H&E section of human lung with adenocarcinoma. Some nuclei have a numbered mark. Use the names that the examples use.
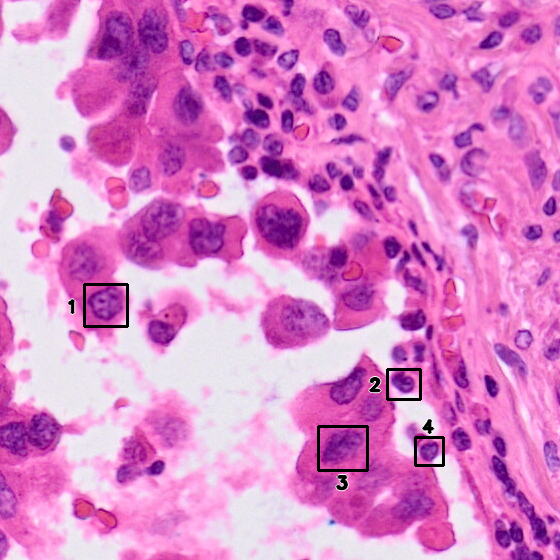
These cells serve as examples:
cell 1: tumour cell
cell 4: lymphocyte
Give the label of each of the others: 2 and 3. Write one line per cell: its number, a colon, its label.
2: lymphocyte
3: tumour cell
